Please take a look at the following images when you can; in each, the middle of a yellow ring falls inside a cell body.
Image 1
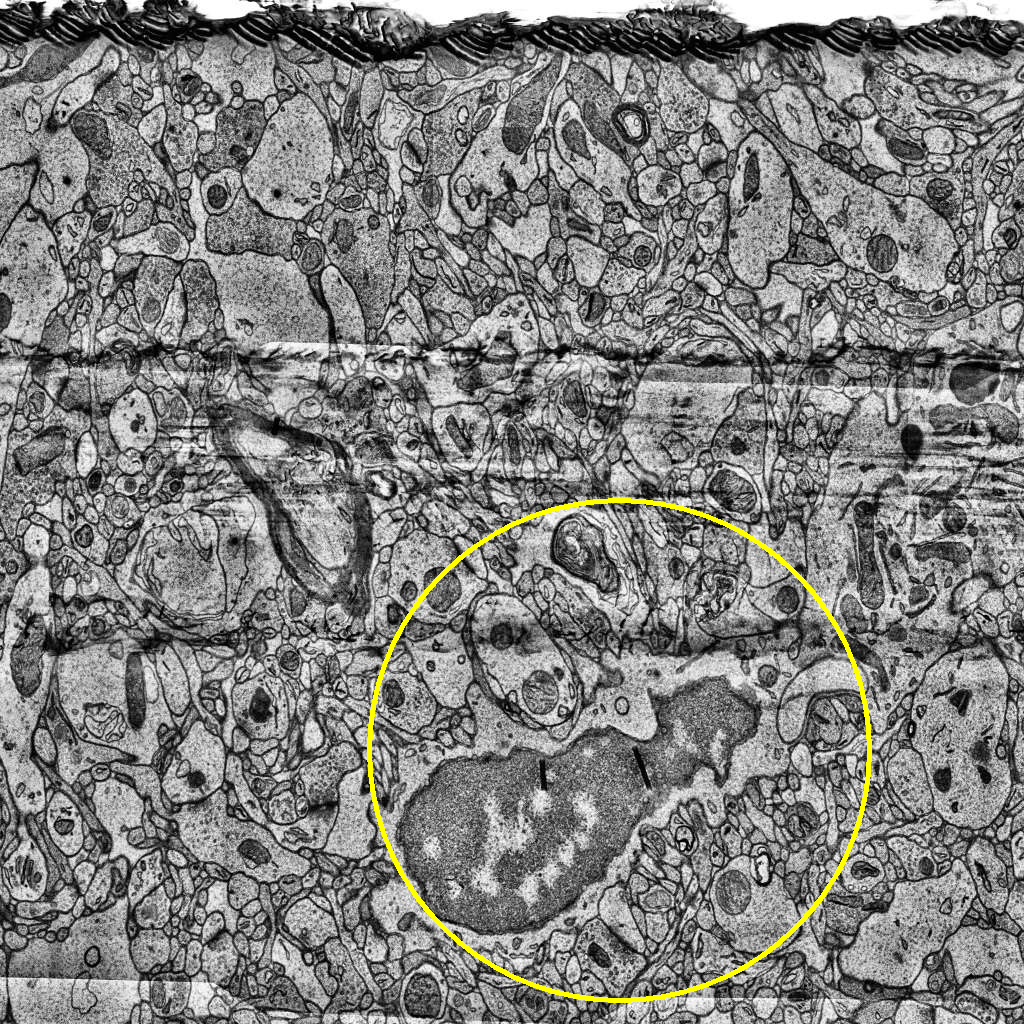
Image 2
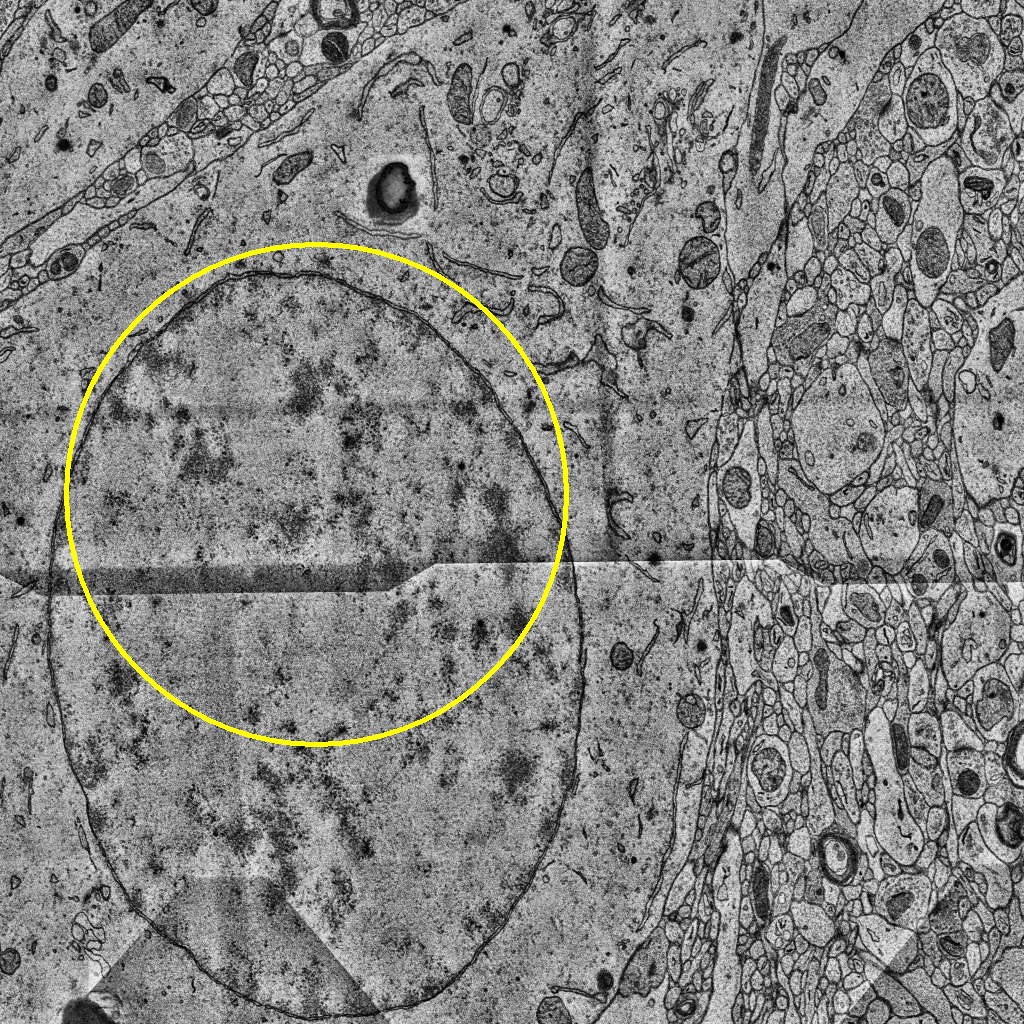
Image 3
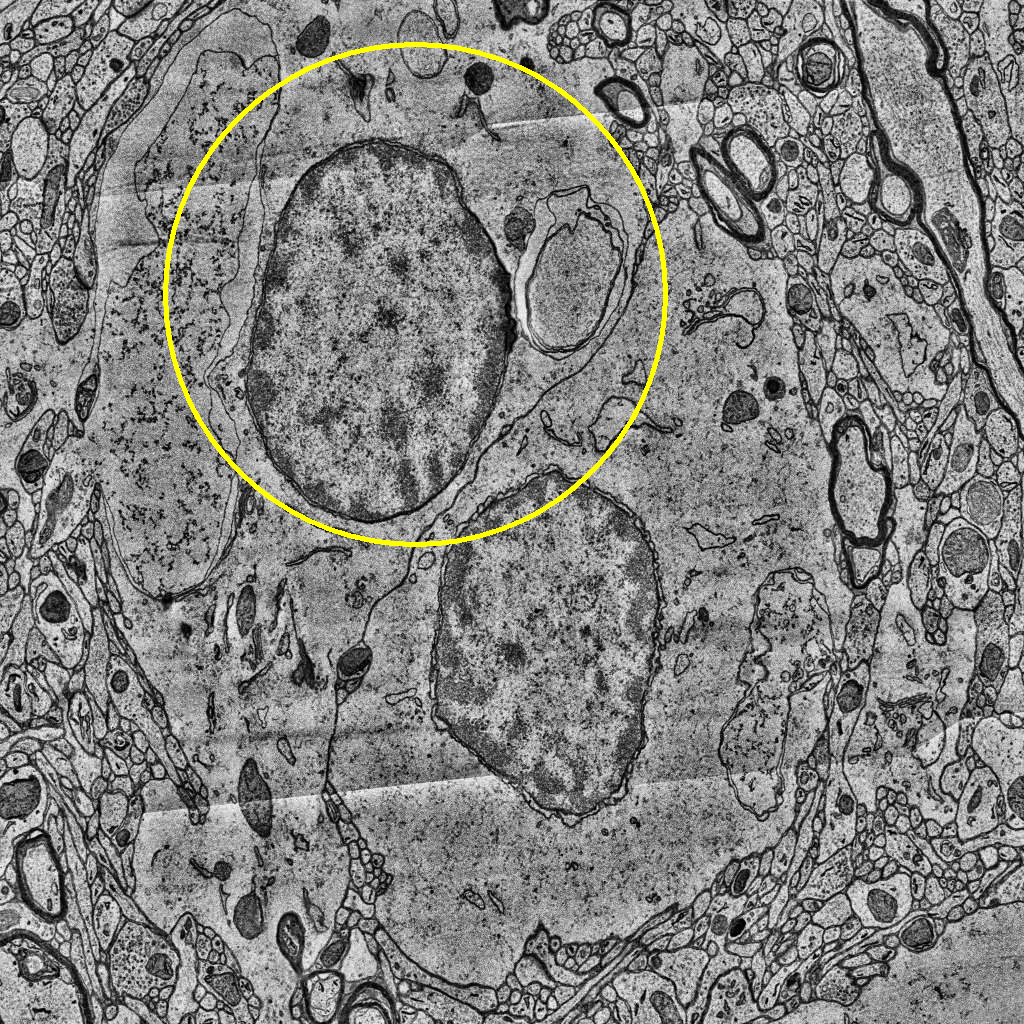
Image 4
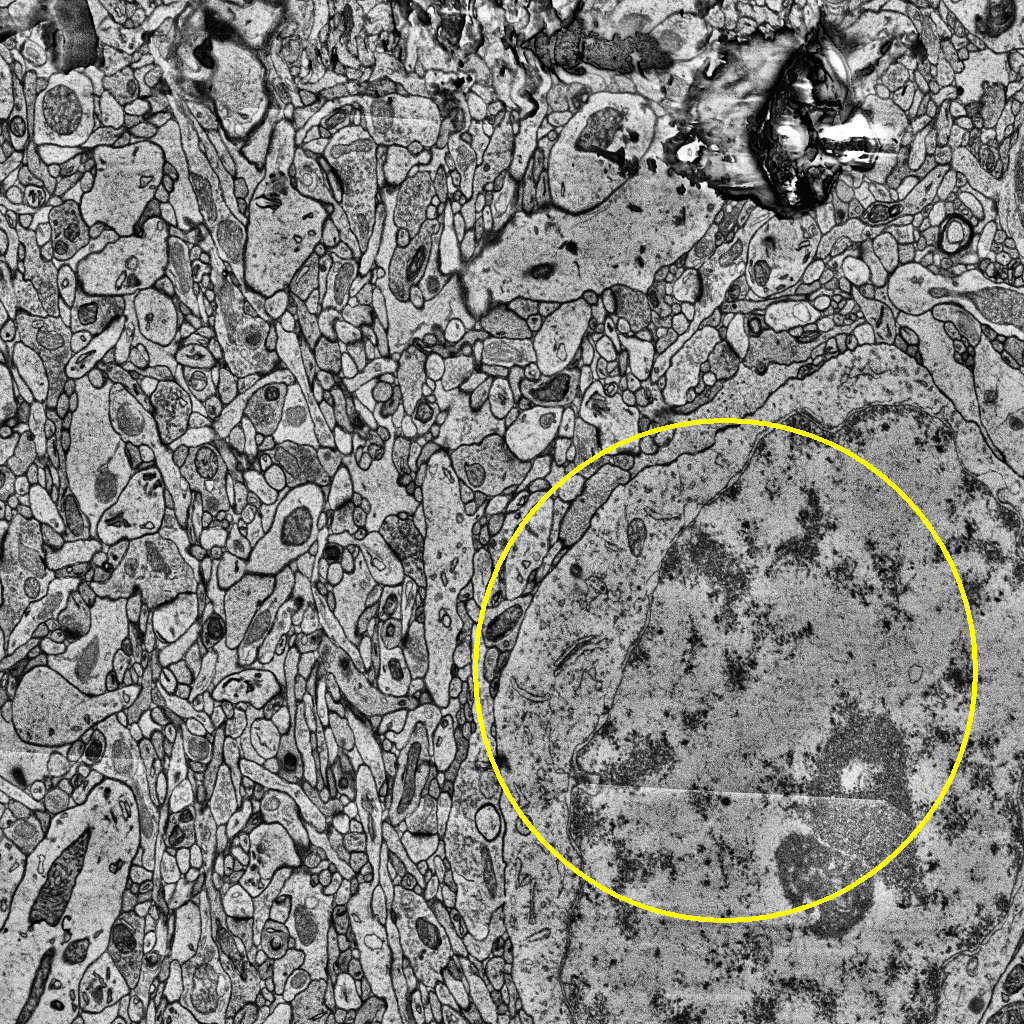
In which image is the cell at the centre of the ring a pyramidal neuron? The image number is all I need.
2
